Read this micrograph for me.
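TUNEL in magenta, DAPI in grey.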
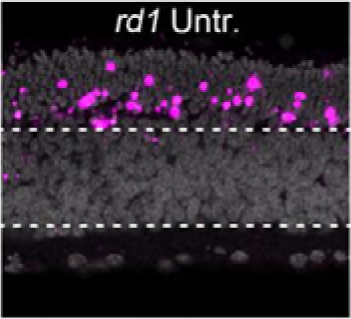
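This is a cross-section of retina with three bands of grey nuclei: a thick, densely packed outer nuclear layer on top, an inner nuclear layer of similar packing in the middle, and a sparse single row of larger nuclei in the ganglion cell layer below. Many bright magenta, rounded nuclei crowd the outer nuclear layer, especially its inner half near the dashed boundary. Few magenta spots appear in the inner layers.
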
